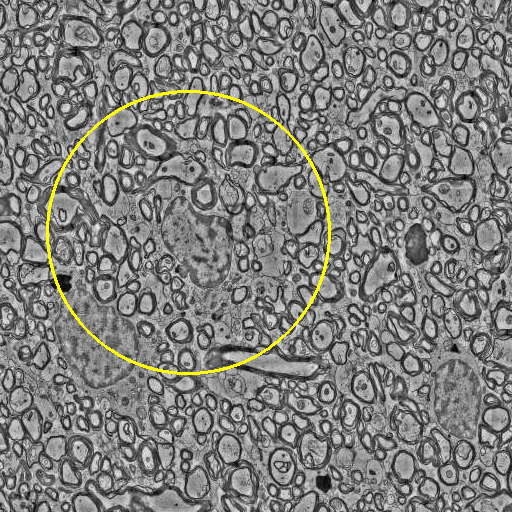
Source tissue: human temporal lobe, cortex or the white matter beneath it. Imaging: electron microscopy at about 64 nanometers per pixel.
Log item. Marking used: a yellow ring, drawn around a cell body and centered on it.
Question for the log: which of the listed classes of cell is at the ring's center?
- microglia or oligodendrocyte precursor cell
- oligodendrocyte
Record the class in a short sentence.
At the center of the ring lies a microglial cell or oligodendrocyte precursor cell.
